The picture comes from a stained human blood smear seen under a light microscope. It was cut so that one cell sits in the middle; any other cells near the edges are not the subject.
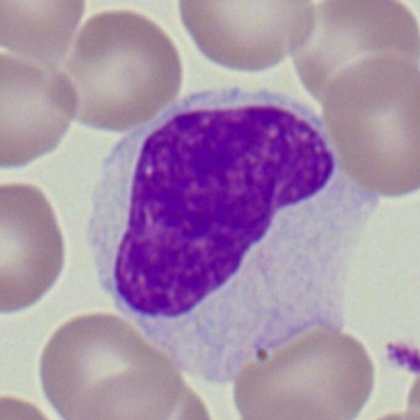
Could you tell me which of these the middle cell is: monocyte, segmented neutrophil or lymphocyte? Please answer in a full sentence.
The cell at the centre of the field is a lymphocyte.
